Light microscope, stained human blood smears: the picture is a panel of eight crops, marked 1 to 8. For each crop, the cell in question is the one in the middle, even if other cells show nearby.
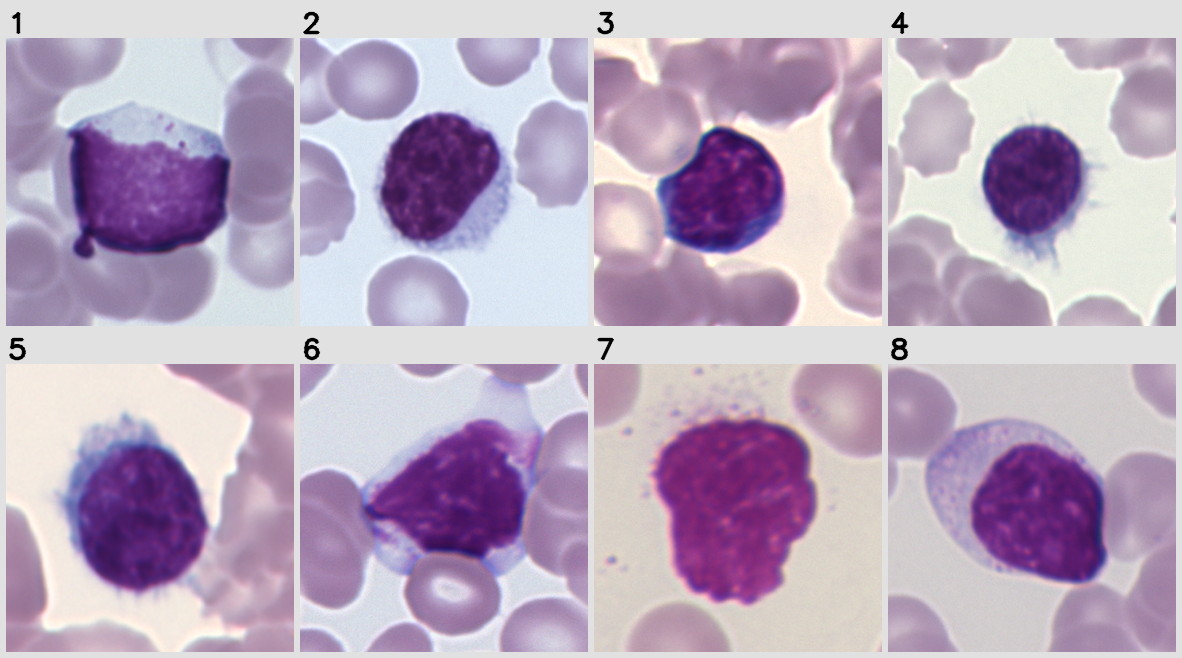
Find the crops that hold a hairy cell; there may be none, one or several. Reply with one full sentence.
The cells at the centre of crops 2, 4 and 5 represent hairy cells.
